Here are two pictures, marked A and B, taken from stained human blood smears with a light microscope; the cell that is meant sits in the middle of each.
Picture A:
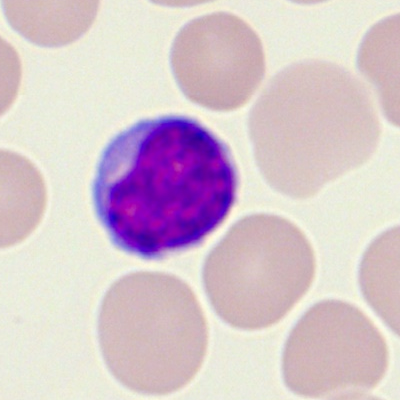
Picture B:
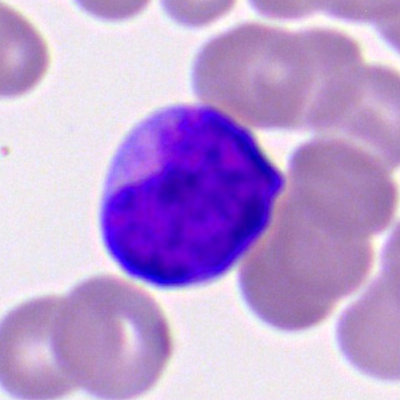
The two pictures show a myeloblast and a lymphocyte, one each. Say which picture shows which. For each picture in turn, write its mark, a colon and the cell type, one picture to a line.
A: lymphocyte
B: myeloblast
